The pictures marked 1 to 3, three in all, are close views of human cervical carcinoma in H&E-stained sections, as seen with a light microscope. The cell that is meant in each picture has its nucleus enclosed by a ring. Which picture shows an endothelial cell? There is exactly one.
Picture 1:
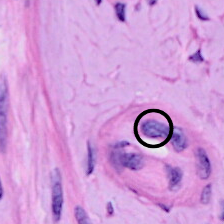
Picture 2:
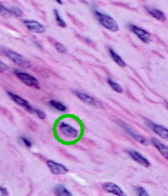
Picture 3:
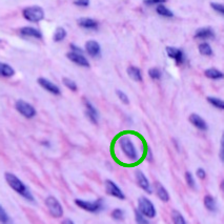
1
